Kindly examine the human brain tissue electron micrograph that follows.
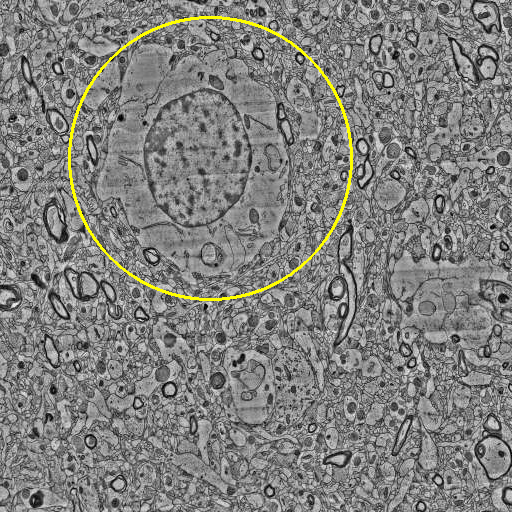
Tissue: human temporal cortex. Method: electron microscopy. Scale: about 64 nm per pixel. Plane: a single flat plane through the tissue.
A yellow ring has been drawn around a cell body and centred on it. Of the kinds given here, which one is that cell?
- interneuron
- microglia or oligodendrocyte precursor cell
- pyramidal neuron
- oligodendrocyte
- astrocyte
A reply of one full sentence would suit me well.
The micrograph's ringed cell, the one at the ring's centre, is an astrocyte.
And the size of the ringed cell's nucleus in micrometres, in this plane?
In this plane the nucleus measures roughly 9 by 7 micrometres.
